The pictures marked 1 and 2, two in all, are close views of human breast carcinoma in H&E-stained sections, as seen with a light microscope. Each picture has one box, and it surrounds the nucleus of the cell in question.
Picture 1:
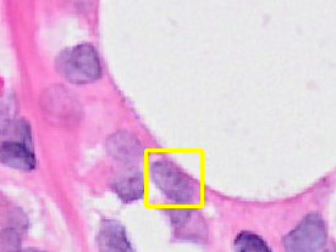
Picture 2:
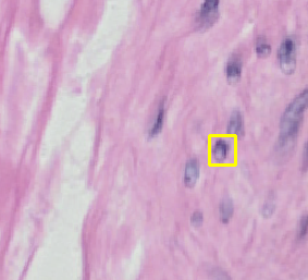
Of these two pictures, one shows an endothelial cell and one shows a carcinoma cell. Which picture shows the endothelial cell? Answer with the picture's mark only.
2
